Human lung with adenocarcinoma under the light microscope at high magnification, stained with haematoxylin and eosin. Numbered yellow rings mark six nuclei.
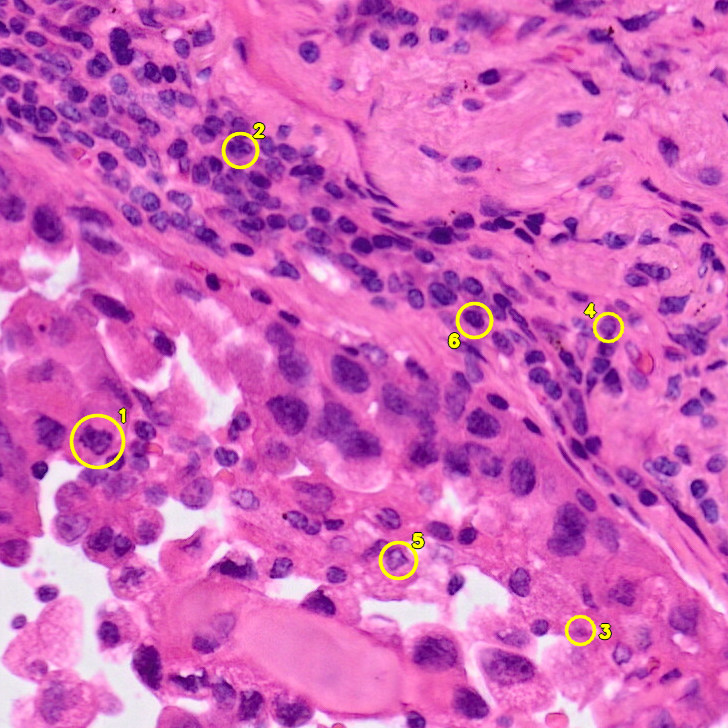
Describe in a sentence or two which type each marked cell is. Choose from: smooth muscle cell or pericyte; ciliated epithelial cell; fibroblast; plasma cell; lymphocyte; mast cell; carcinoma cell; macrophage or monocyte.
Cell 1 is a carcinoma cell. Cells 2 and 4 are lymphocytes. Cells 3 and 5 are macrophages or monocytes. Cell 6 is a plasma cell.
